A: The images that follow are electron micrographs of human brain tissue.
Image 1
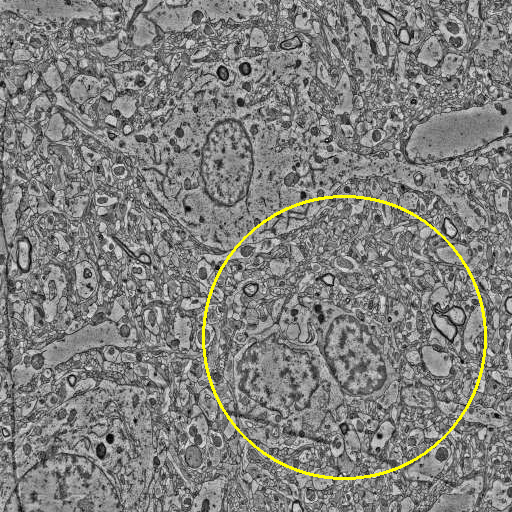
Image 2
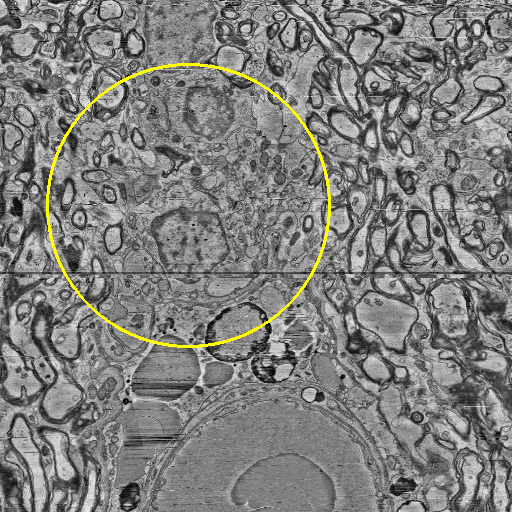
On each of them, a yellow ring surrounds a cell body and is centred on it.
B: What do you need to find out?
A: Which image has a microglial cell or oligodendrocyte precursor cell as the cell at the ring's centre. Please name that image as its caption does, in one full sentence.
Image 2 is the one whose ring has the sought cell at its centre.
